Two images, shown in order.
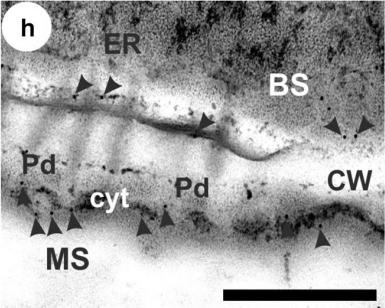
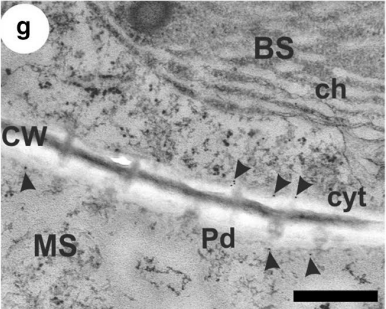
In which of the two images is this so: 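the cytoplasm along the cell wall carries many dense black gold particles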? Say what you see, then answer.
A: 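The first image. First image: the thin cytoplasm lining the wall is studded with numerous small black dots, many marked by arrowheads. Second image: only scattered single black dots appear in the cytoplasm near the wall.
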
